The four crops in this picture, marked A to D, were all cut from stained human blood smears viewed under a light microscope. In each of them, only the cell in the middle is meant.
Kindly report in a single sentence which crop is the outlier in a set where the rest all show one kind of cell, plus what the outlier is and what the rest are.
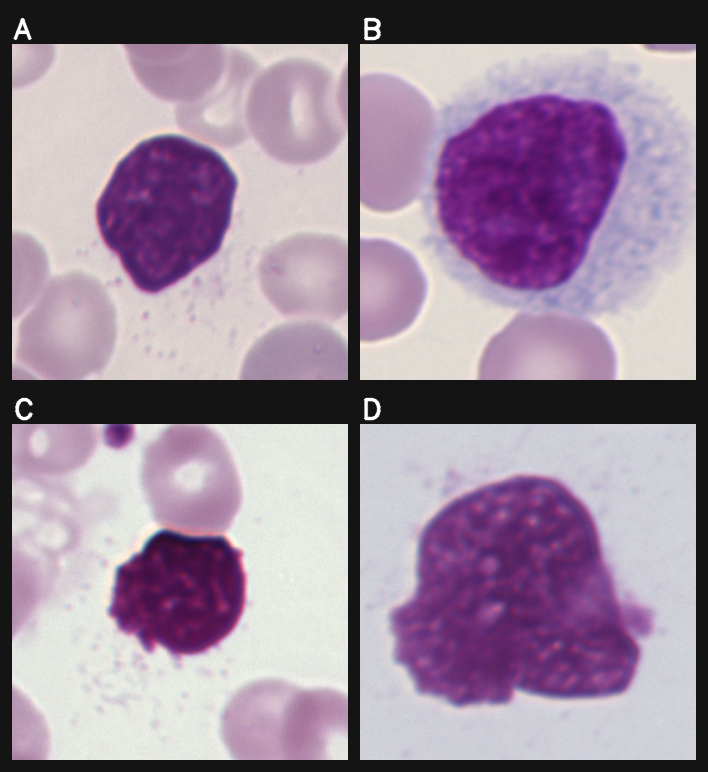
Crop B alone is a hairy cell, and the other crops are all smudge cells.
